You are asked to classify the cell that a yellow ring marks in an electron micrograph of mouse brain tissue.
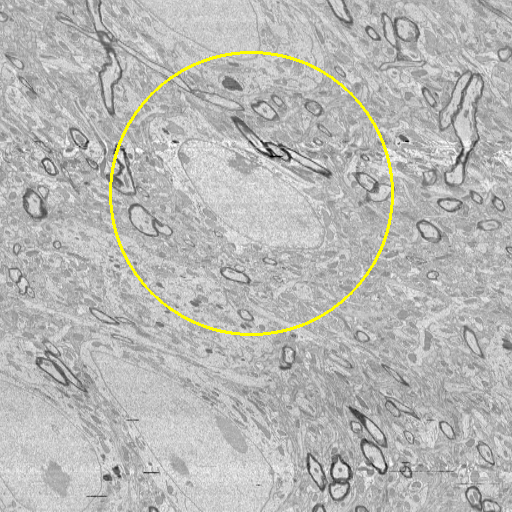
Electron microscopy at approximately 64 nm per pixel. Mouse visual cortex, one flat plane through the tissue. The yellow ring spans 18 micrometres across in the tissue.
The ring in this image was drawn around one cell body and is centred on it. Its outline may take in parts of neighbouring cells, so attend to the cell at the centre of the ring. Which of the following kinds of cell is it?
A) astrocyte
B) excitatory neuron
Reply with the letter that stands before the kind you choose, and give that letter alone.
A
